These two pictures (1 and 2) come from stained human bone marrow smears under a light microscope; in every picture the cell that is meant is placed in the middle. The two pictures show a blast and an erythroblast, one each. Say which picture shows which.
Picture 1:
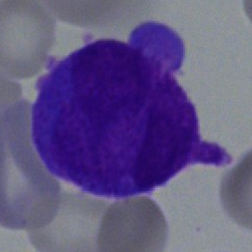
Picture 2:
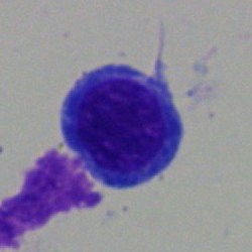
1: blast
2: erythroblast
